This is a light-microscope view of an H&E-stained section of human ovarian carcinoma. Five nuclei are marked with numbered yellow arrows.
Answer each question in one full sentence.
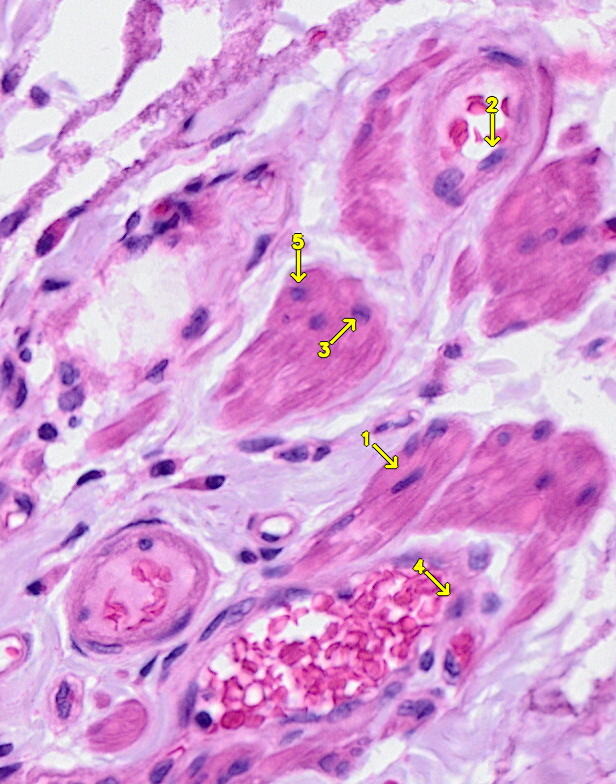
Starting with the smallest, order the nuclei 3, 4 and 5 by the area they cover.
The order from the smallest nucleus to the largest is 5, 3, 4.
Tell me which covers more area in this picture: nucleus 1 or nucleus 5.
It is nucleus 1, which covers about 2 times the area of nucleus 5.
